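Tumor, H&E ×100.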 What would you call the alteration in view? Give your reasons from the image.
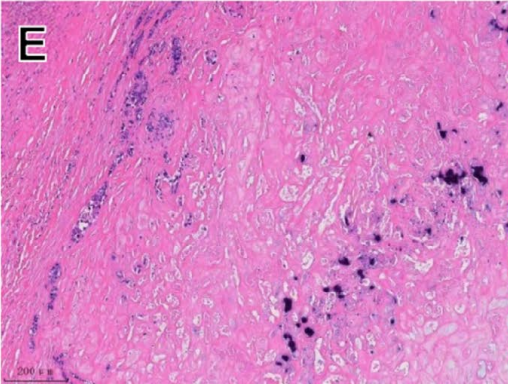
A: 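Calcification. Dark purple-black granular clumps scattered in the pink matrix. The clumps lie within pale degenerated tissue.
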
